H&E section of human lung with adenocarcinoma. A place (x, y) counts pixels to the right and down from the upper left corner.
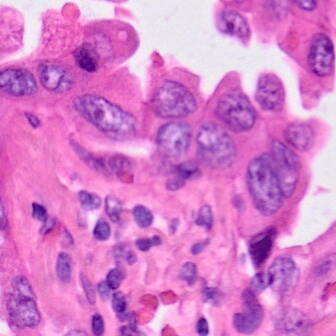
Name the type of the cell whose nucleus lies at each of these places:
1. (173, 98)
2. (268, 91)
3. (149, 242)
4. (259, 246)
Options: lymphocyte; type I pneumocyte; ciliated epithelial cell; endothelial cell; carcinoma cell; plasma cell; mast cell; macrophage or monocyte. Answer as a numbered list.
1. carcinoma cell
2. carcinoma cell
3. lymphocyte
4. carcinoma cell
